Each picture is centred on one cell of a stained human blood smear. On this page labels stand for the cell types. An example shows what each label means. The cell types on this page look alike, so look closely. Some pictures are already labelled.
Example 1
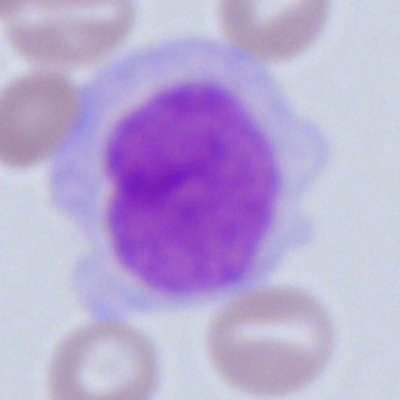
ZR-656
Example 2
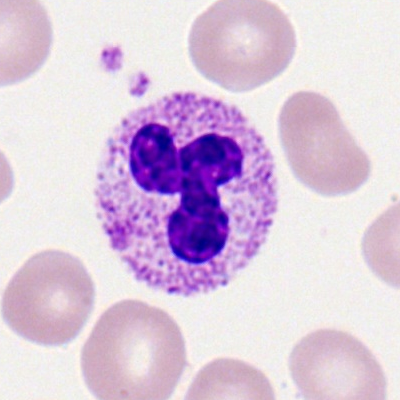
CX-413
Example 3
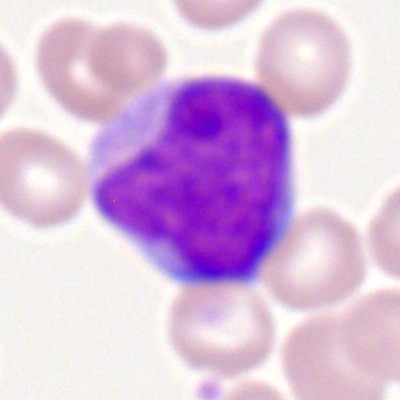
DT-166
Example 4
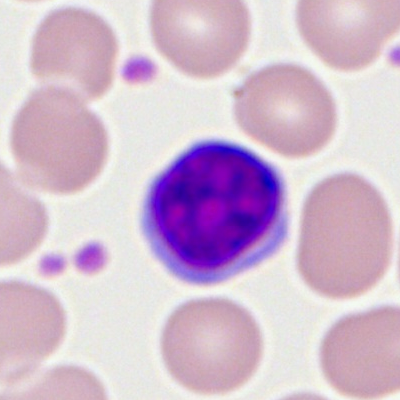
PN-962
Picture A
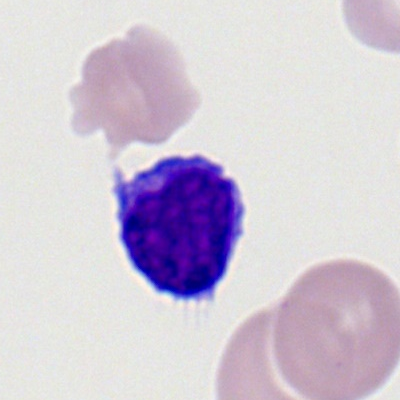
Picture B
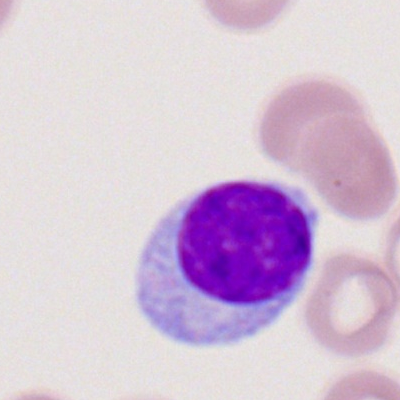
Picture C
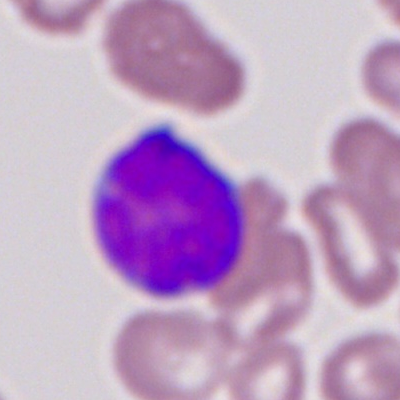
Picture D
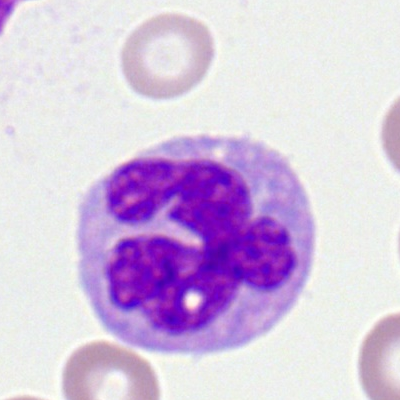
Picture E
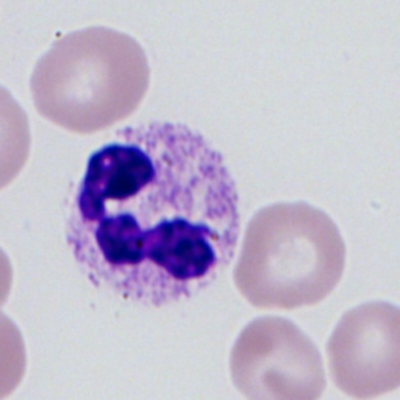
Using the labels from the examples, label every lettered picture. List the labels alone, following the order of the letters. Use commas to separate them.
PN-962, PN-962, DT-166, ZR-656, CX-413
